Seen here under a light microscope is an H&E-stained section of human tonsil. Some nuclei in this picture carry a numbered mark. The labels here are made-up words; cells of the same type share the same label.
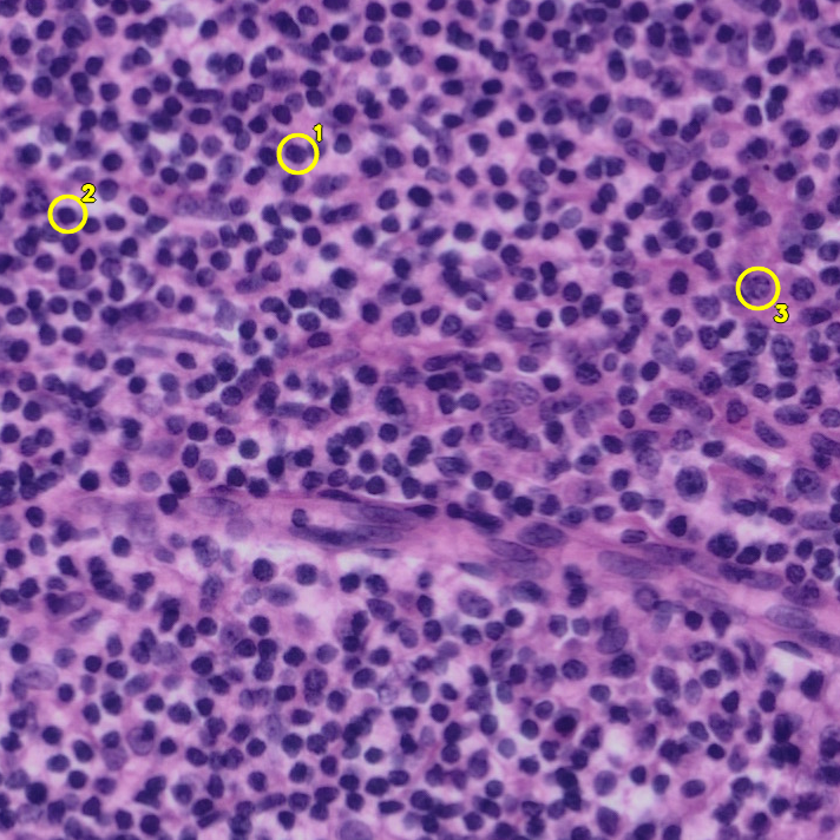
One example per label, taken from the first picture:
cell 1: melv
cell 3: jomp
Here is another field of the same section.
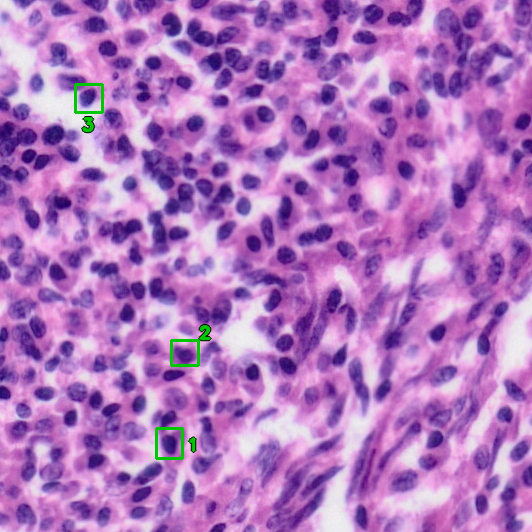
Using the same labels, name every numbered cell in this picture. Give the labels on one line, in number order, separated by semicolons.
jomp; jomp; melv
